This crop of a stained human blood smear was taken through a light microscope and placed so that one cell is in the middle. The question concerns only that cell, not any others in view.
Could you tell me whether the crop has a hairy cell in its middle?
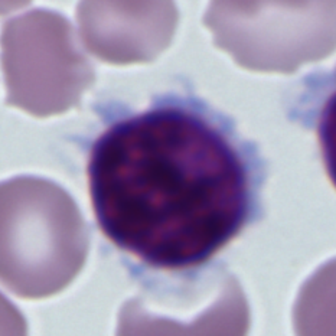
yes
